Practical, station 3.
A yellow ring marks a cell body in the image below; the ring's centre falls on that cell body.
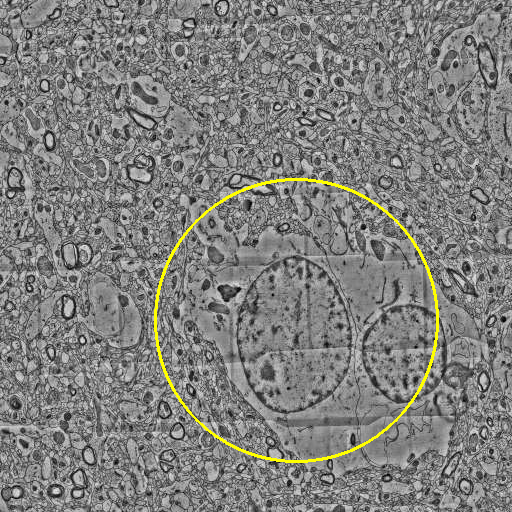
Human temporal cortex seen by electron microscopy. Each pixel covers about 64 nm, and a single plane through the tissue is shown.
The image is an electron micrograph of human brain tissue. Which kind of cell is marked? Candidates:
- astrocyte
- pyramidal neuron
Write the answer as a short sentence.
The marked cell body is that of an astrocyte.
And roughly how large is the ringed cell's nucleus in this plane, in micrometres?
The nucleus has a long axis of about 10 micrometres and a short axis of about 7 micrometres in this plane.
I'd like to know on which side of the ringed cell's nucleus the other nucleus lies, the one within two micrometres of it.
That other nucleus lies to the right of it.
